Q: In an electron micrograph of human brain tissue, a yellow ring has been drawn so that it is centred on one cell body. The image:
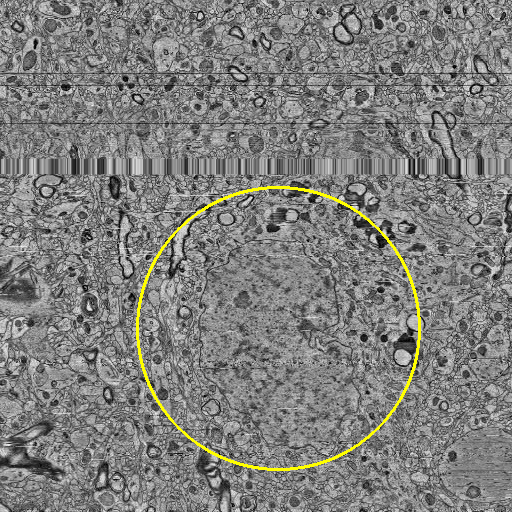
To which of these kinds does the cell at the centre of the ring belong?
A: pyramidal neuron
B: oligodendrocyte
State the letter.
A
